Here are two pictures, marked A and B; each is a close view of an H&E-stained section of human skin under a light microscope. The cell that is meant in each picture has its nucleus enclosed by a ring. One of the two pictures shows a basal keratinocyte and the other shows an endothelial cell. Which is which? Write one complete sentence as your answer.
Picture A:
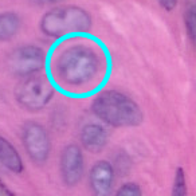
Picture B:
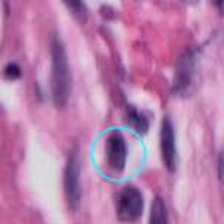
Picture B shows an endothelial cell, while picture A shows a basal keratinocyte.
